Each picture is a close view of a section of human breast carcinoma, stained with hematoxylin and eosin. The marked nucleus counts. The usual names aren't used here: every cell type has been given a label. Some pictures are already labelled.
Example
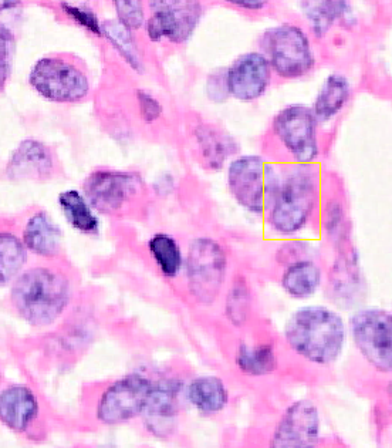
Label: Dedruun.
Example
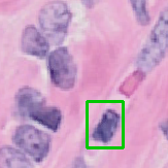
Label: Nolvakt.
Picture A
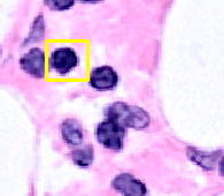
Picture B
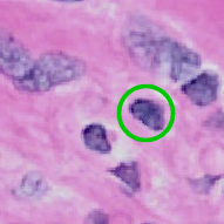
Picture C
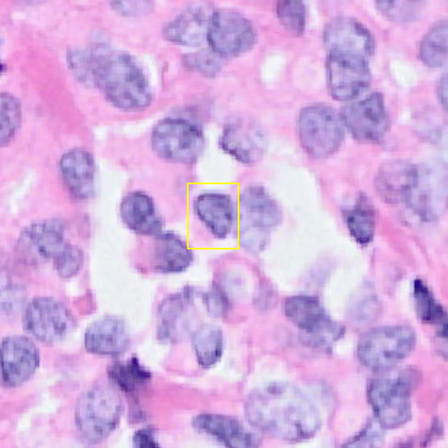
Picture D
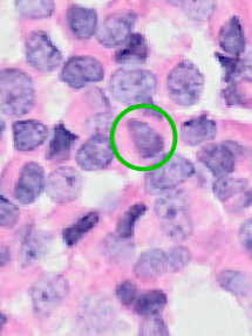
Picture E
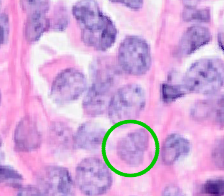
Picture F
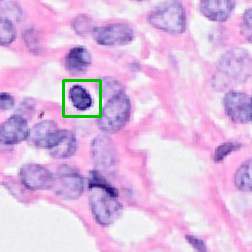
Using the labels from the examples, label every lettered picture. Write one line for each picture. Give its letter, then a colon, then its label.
A: Nolvakt.
B: Nolvakt.
C: Dedruun.
D: Dedruun.
E: Dedruun.
F: Nolvakt.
